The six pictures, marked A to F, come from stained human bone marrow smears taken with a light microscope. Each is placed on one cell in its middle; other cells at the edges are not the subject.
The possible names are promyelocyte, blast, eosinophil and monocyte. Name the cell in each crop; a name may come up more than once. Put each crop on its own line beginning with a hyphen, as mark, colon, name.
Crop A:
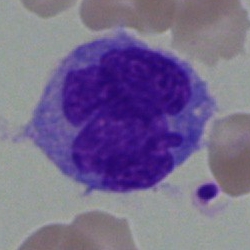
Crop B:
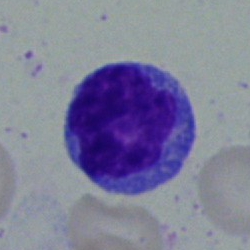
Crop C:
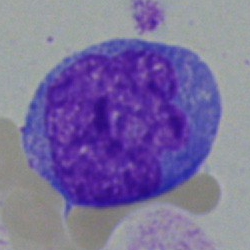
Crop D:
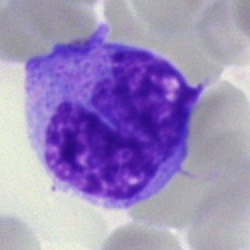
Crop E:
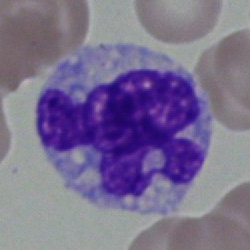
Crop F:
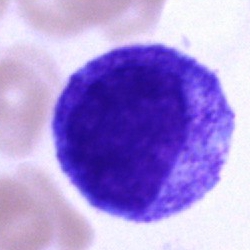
- A: monocyte
- B: blast
- C: monocyte
- D: monocyte
- E: monocyte
- F: promyelocyte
